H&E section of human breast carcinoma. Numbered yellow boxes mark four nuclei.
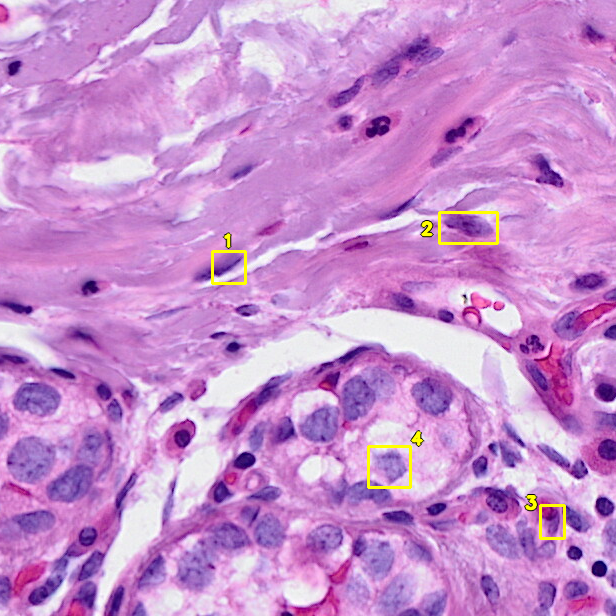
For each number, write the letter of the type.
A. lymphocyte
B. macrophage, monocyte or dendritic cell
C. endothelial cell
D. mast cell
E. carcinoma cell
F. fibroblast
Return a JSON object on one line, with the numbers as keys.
{"1": "F", "2": "F", "3": "C", "4": "E"}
